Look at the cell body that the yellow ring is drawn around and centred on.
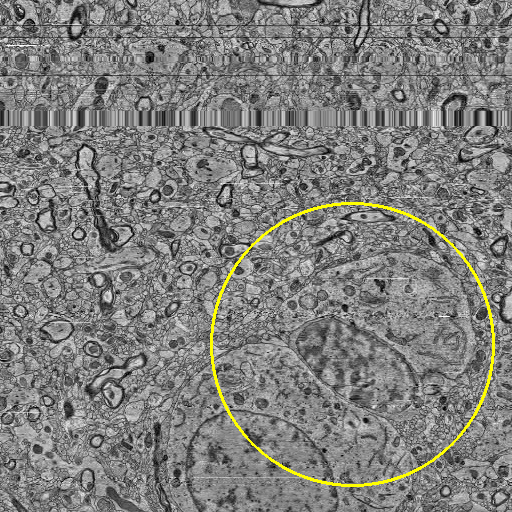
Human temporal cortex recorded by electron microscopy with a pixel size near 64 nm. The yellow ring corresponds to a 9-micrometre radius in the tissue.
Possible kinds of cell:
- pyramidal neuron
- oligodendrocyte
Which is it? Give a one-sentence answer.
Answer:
The centred cell body is that of an oligodendrocyte.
